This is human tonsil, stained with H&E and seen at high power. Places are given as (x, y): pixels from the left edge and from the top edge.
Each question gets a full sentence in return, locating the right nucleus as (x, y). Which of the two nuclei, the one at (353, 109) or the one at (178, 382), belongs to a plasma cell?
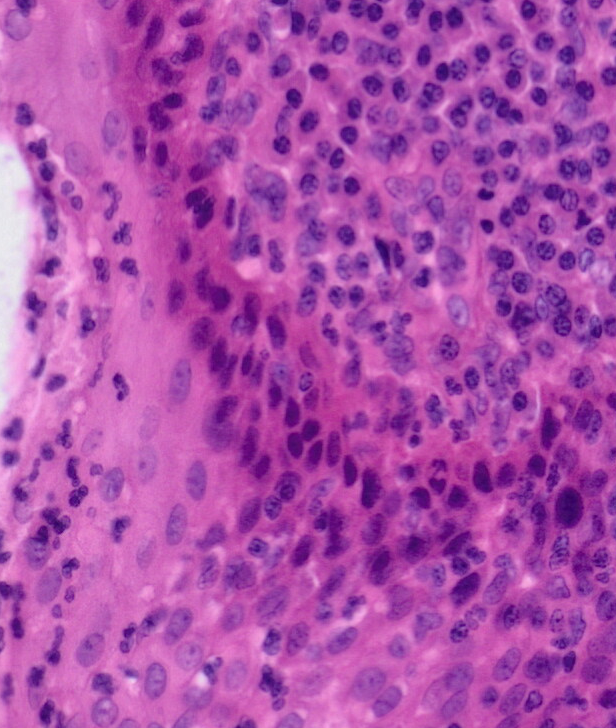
Assigned to a plasma cell is the nucleus located at (353, 109).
